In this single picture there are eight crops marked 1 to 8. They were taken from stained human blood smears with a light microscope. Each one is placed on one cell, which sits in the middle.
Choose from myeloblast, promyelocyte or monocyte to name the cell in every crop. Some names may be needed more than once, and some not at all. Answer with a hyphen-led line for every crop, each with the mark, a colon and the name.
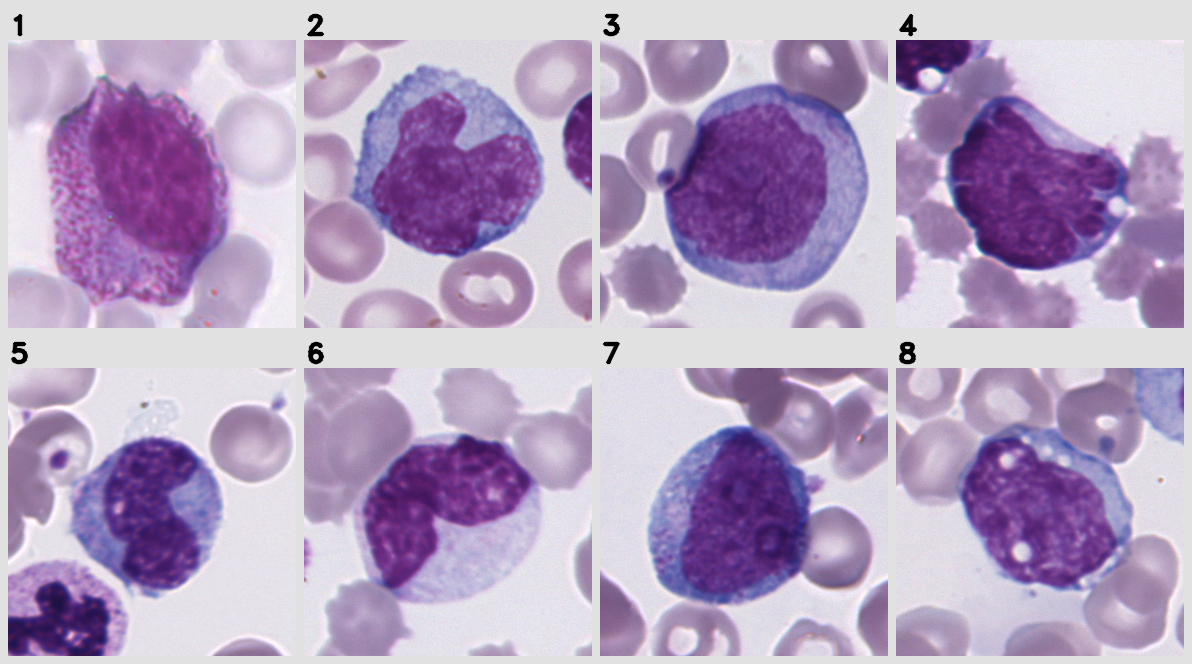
- 1: promyelocyte
- 2: monocyte
- 3: promyelocyte
- 4: myeloblast
- 5: monocyte
- 6: monocyte
- 7: promyelocyte
- 8: myeloblast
